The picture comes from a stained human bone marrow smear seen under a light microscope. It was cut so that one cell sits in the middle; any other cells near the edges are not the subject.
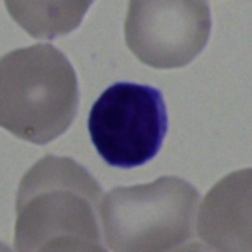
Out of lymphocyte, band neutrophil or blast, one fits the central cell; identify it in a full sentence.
Occupying the centre of the crop is a lymphocyte.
